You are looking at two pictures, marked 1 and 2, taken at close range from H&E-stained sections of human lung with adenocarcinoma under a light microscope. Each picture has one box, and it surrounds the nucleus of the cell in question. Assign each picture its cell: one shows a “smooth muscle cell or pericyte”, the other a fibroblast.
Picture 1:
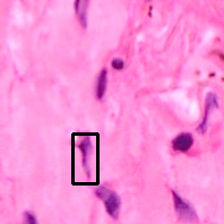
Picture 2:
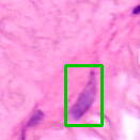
1: fibroblast
2: smooth muscle cell or pericyte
